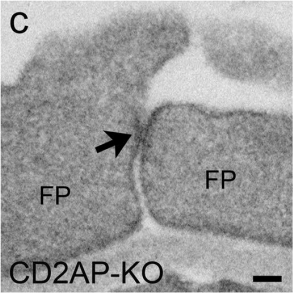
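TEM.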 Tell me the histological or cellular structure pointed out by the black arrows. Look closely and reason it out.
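The arrow points to where two adjacent cell processes abut closely. The gap between the two processes is very narrow at that spot. The answer: cell contact area.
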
